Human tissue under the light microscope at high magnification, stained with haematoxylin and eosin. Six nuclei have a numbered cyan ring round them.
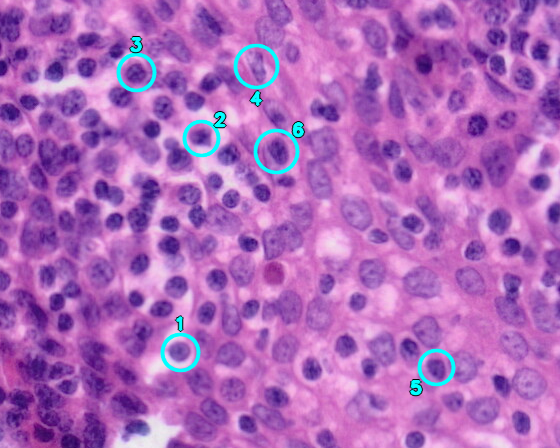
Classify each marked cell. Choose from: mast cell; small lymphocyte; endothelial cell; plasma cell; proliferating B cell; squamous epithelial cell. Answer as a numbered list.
1. squamous epithelial cell
2. plasma cell
3. plasma cell
4. squamous epithelial cell
5. squamous epithelial cell
6. squamous epithelial cell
